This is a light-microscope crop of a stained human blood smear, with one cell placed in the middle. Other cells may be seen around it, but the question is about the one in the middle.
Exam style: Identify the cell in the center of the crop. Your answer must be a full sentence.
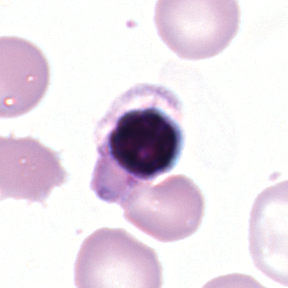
Located at the centre of the crop is a normoblast.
